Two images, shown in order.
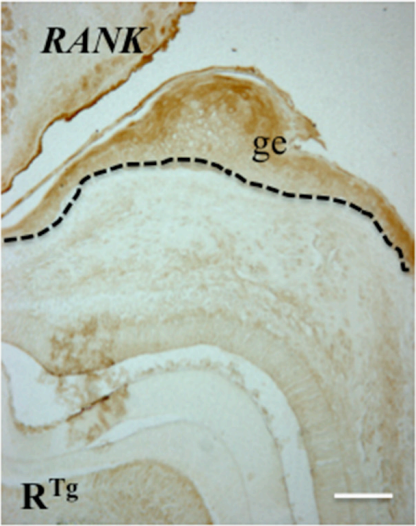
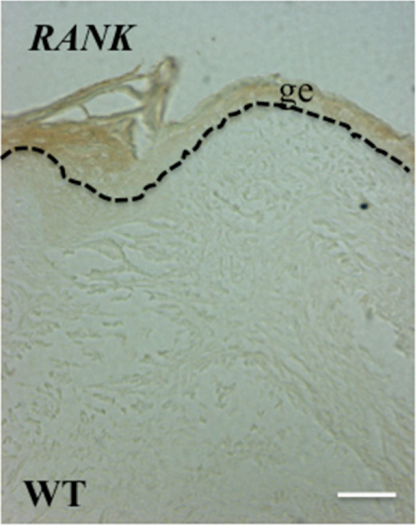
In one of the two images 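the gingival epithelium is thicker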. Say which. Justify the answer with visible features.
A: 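First image: a broad, brown-stained epithelial layer lies above the dashed line, swelling into a thick mound. Second image: only a thin, pale-brown band of epithelium lies above the dashed line. So: the first image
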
